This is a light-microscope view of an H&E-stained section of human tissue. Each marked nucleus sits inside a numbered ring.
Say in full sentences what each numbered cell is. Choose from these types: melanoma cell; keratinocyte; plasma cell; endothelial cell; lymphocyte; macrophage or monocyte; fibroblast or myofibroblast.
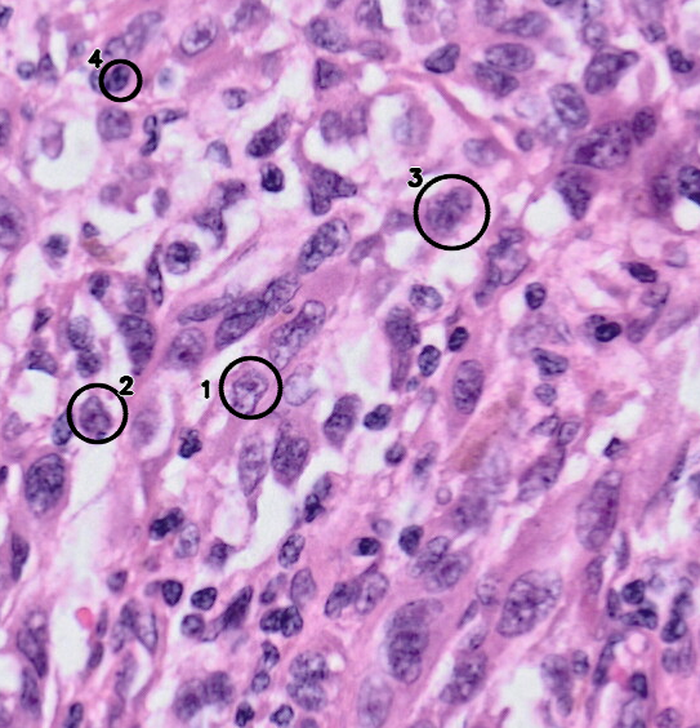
Cells 1, 2 and 3 are melanoma cells. Cell 4 is a lymphocyte.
